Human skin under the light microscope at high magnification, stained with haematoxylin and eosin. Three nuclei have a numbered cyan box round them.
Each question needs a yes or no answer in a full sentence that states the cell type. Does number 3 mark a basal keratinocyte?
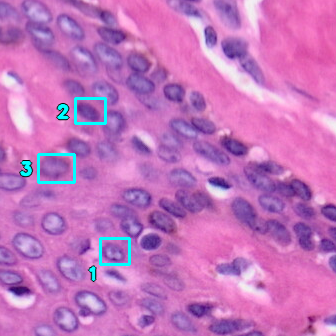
Yes, the cell indicated by number 3 is a basal keratinocyte.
